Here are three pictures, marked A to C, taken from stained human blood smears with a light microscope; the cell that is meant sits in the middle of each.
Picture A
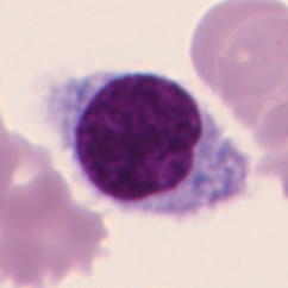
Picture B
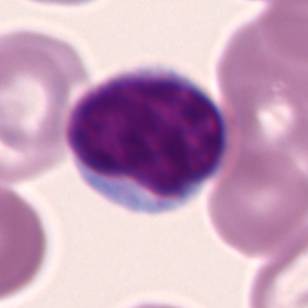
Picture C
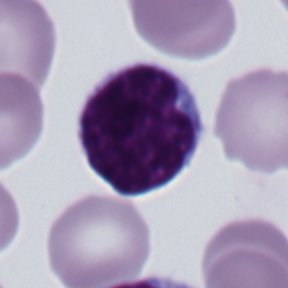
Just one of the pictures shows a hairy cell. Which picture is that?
A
